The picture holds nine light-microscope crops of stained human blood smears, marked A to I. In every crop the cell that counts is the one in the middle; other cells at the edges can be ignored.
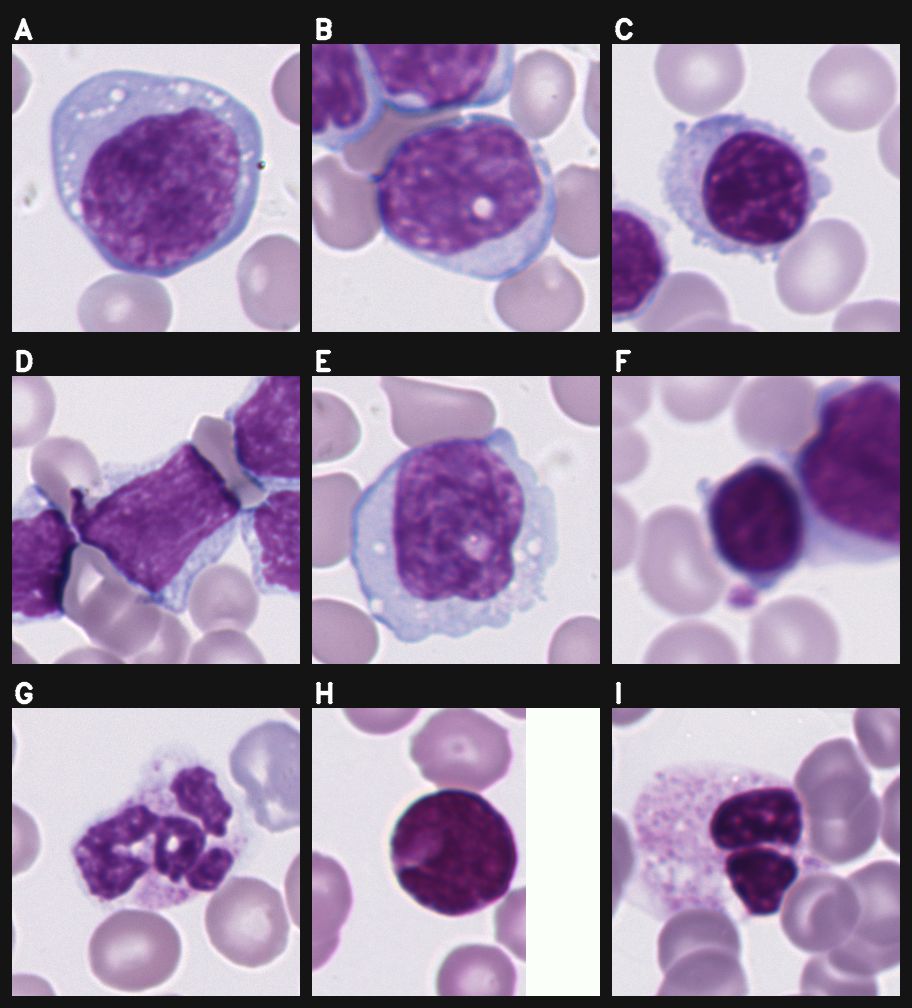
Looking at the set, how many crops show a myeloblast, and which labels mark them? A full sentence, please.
It is myeloblasts that crops A, B, E and H show, four crops in all.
